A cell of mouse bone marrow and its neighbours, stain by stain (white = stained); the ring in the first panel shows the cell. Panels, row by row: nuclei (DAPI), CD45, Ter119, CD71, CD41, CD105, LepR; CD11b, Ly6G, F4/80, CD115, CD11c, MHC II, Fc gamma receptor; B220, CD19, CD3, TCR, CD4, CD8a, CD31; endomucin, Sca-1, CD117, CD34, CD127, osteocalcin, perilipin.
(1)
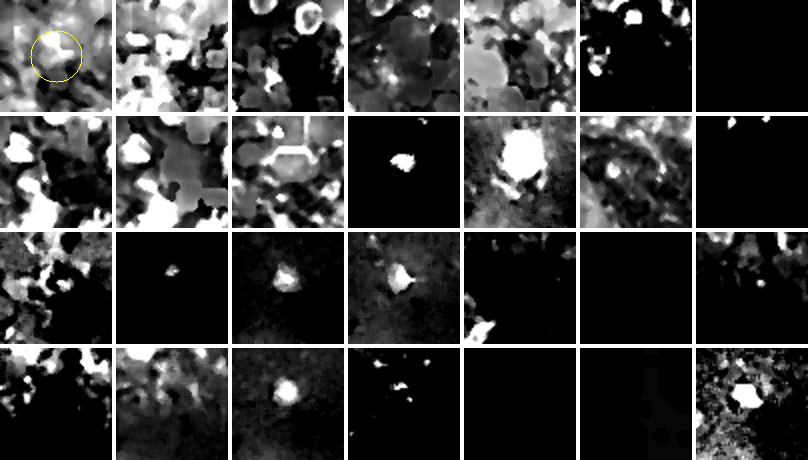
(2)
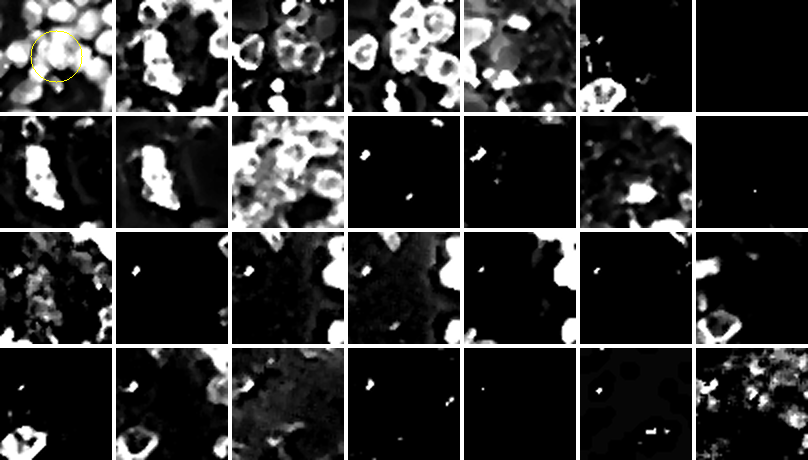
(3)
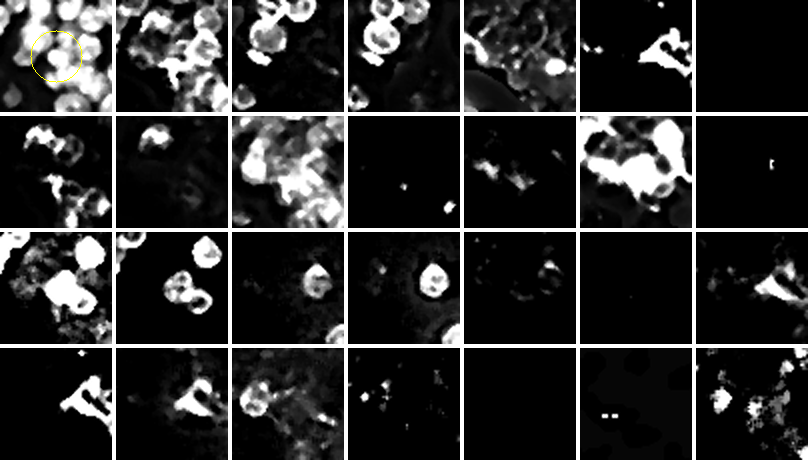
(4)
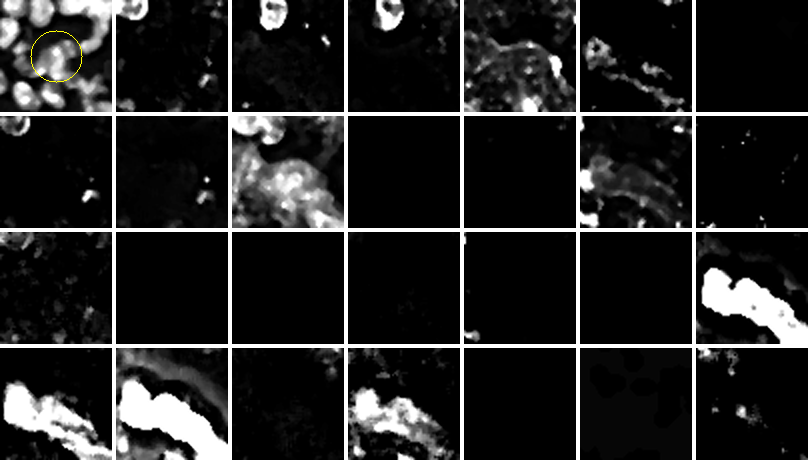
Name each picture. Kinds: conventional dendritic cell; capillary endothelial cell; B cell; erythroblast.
Picture 1: conventional dendritic cell
Picture 2: erythroblast
Picture 3: B cell
Picture 4: capillary endothelial cell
